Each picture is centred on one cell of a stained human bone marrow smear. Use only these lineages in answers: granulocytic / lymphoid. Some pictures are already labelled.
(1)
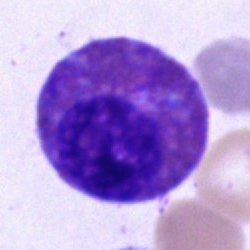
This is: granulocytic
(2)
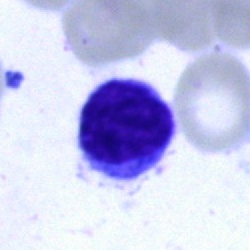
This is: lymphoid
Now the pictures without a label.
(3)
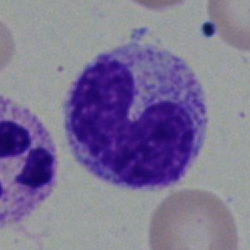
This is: granulocytic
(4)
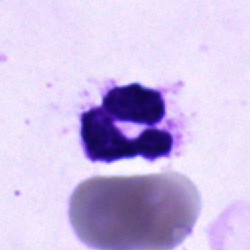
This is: granulocytic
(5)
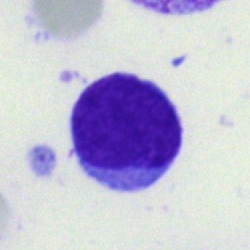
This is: lymphoid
